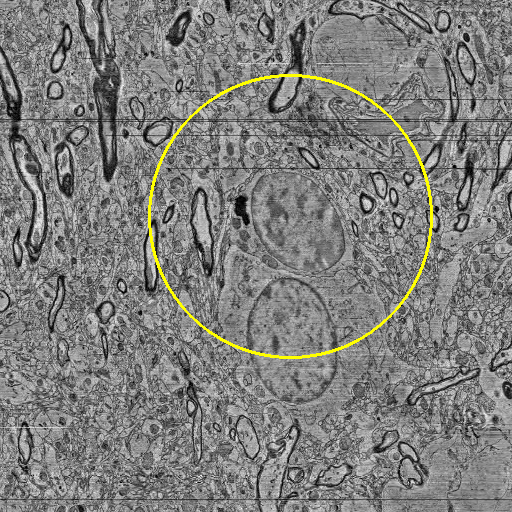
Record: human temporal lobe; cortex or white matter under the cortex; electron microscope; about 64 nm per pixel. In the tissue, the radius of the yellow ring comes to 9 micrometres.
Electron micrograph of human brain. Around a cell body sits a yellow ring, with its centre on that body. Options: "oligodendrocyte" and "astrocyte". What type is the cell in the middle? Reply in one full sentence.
The cell sitting at the centre of the yellow ring is an oligodendrocyte.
